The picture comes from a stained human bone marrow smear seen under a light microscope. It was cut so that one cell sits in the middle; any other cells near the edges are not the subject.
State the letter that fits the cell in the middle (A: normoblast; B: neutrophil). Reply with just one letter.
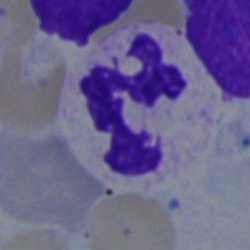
B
